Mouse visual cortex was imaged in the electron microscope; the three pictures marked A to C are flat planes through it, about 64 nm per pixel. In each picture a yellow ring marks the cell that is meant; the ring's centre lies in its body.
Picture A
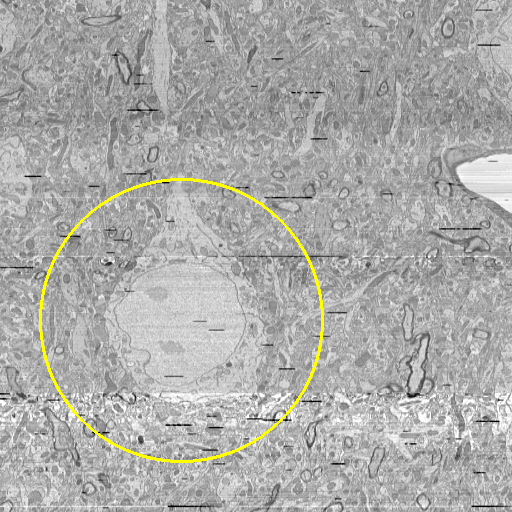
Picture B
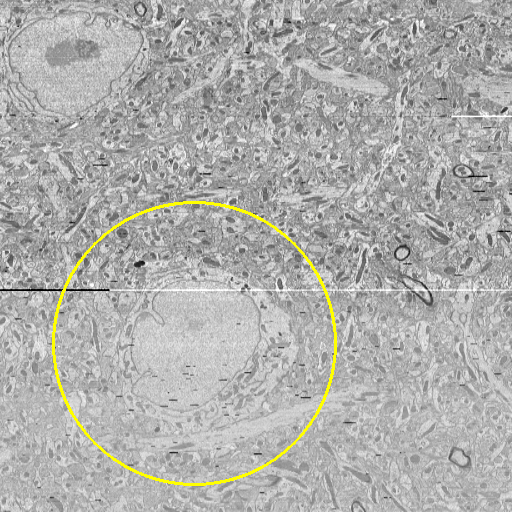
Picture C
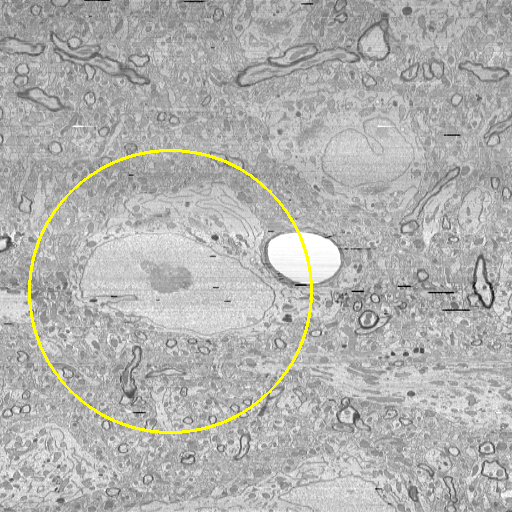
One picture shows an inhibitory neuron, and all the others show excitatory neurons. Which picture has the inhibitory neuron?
The picture with the inhibitory neuron is B.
